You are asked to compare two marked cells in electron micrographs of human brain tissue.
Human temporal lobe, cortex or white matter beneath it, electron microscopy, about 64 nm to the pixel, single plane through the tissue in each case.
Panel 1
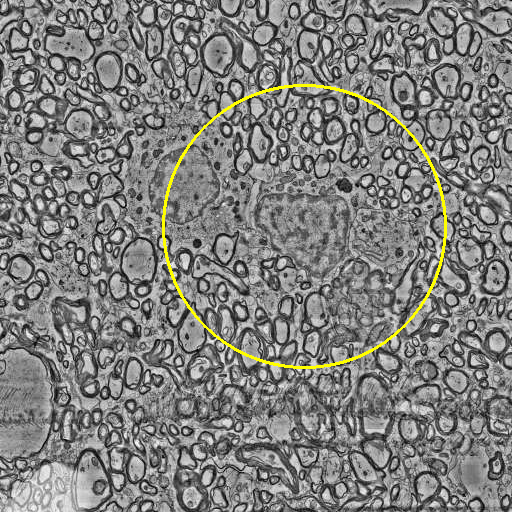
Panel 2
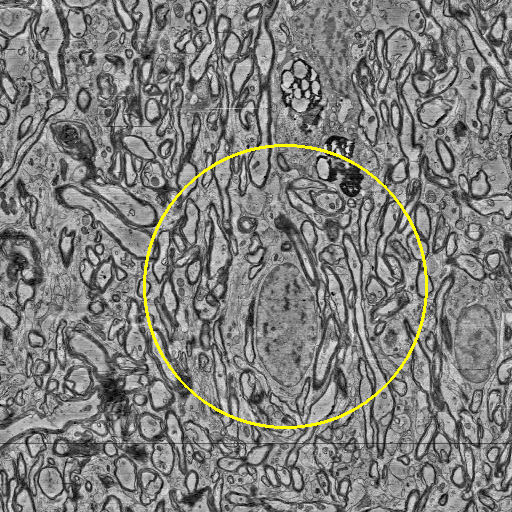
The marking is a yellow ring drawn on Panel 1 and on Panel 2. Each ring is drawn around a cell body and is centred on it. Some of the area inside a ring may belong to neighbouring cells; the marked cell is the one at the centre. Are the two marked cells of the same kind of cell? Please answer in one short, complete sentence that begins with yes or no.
Yes, the two marked cells are of the same kind.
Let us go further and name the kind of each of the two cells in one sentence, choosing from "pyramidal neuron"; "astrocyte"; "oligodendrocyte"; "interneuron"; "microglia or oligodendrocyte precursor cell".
Each one of the two ringed cells is a microglial cell or oligodendrocyte precursor cell.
